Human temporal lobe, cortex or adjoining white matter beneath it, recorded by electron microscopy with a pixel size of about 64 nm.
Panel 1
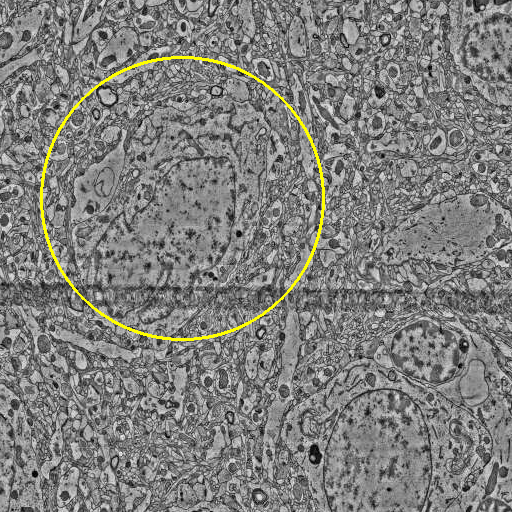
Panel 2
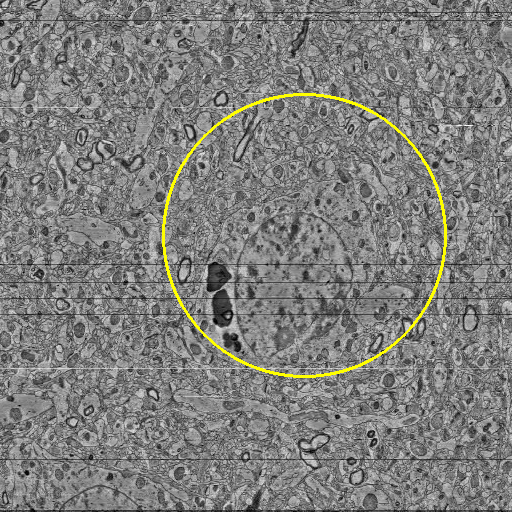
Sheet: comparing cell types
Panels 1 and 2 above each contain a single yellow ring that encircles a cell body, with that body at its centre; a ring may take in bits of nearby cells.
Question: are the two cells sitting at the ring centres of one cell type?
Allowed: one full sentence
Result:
Yes, the ring-centre cells in Panel 1 and Panel 2 are of one type.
